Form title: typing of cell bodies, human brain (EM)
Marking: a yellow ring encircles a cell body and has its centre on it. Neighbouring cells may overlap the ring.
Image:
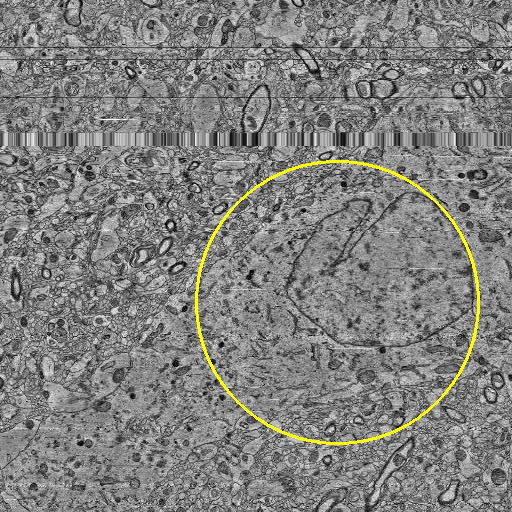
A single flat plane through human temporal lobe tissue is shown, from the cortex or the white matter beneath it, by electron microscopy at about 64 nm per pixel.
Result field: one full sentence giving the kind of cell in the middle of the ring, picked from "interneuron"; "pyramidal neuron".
In the picture, the ring is centred on a pyramidal neuron, whose cell body it encircles.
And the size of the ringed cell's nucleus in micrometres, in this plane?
In this plane, roughly 12 by 10 micrometres.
